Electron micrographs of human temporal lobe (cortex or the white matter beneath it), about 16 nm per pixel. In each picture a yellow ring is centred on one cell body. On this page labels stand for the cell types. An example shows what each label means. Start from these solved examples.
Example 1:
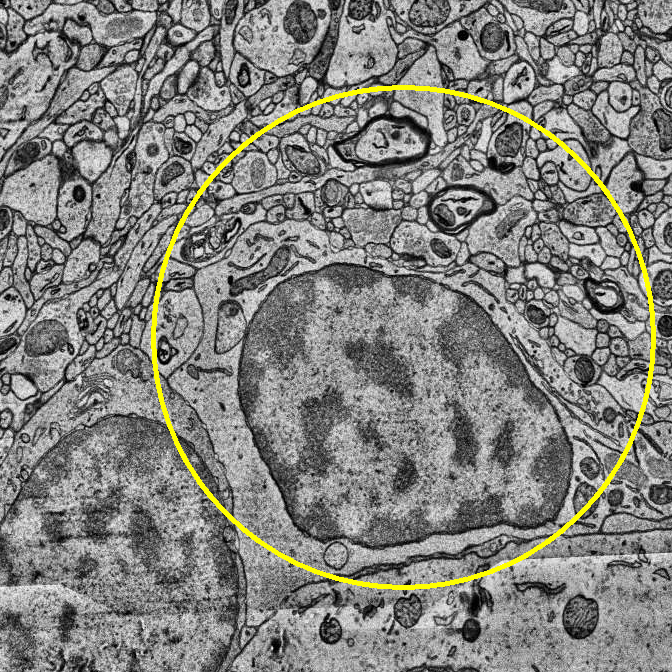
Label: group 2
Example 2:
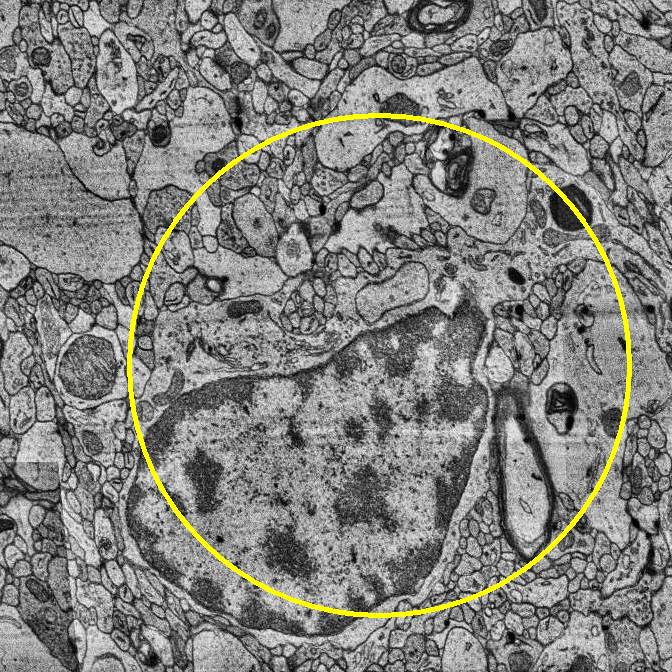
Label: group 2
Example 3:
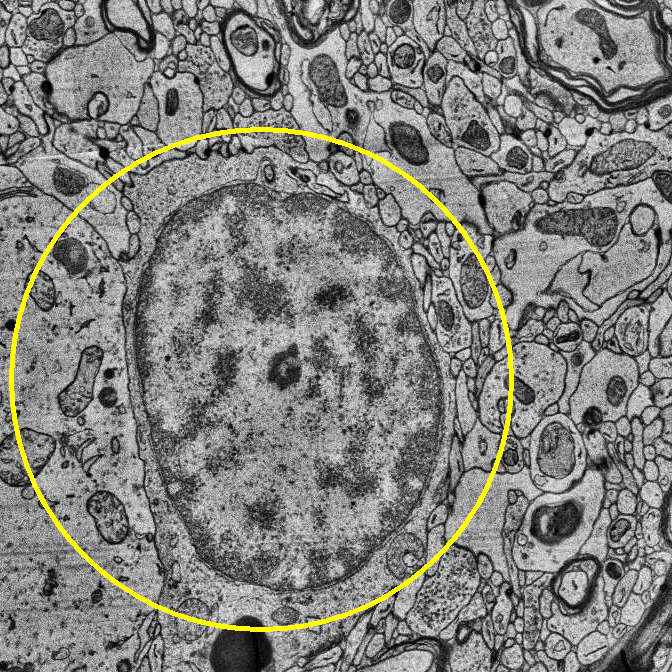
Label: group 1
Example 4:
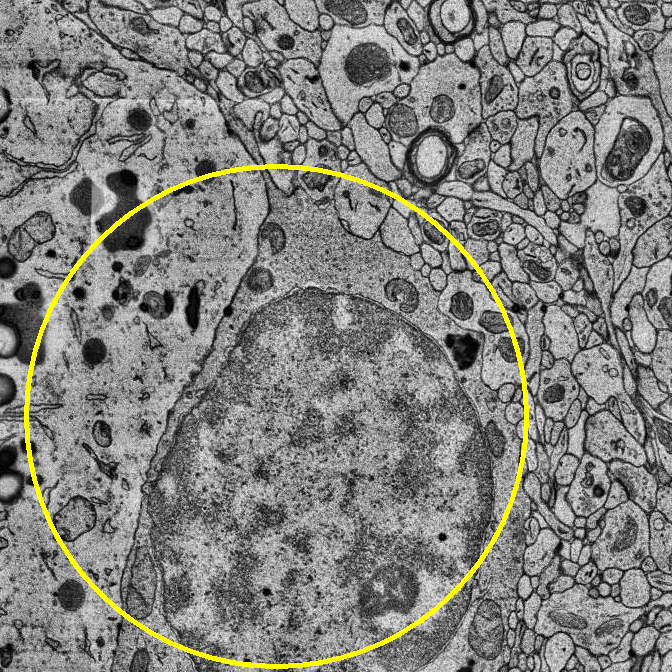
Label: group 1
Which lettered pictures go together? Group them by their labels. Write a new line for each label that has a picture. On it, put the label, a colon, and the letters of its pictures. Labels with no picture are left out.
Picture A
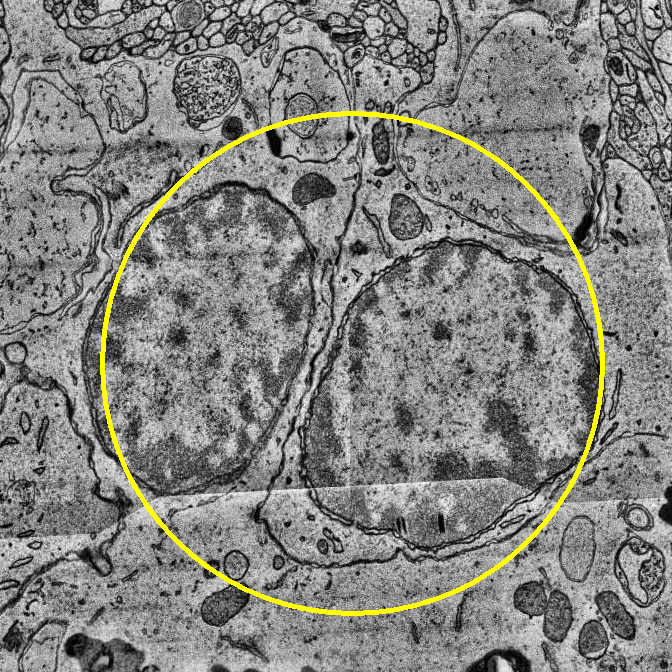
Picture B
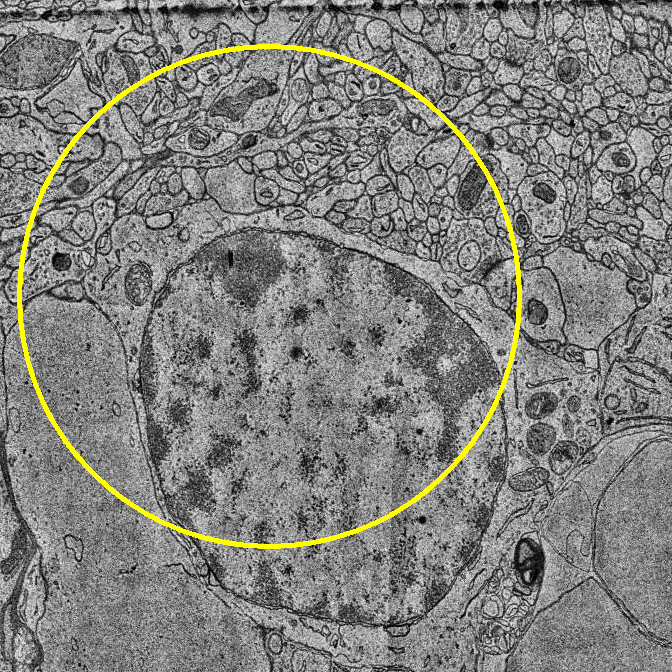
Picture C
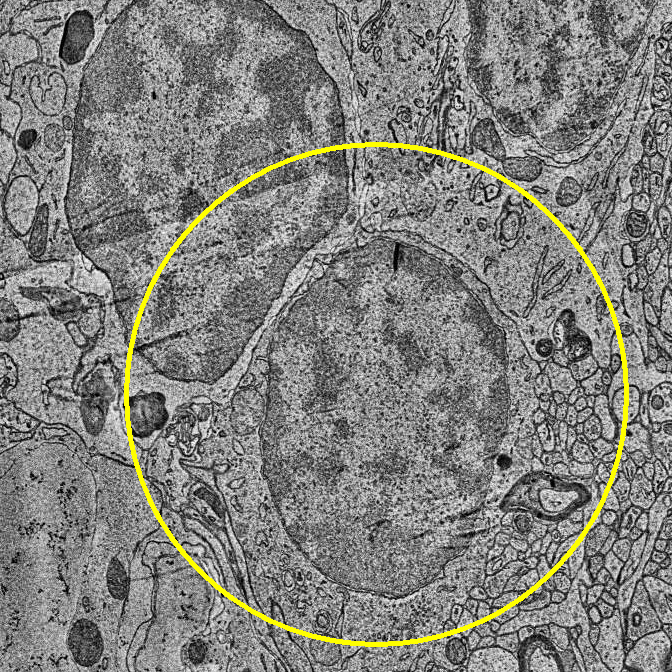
group 2: A, B
group 1: C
